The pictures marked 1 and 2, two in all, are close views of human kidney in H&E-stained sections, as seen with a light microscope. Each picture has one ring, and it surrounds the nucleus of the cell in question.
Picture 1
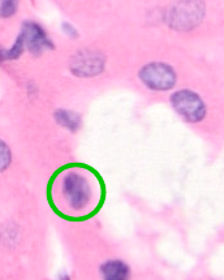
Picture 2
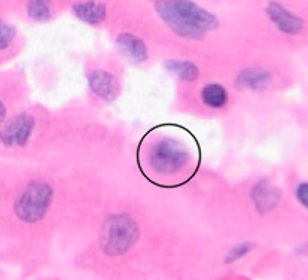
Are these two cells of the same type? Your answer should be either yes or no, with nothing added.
yes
